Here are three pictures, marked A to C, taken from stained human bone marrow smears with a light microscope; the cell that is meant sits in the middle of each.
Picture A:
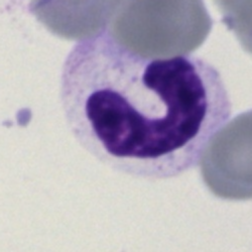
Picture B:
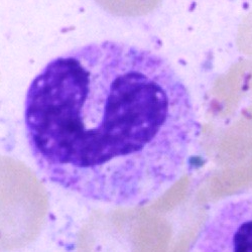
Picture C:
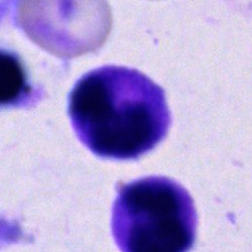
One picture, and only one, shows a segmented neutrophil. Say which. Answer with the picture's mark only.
C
